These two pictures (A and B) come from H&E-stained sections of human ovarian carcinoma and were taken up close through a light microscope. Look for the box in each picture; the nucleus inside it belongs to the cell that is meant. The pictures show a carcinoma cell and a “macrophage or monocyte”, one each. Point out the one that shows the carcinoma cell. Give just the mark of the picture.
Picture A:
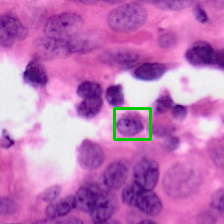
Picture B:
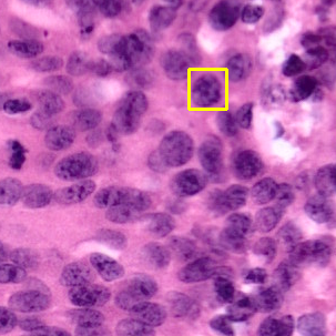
B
